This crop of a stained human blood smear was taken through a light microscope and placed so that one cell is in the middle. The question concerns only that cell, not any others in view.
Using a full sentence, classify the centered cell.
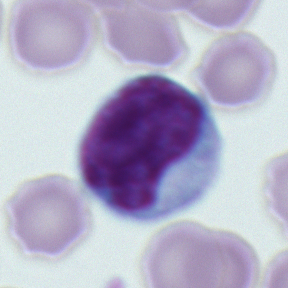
The cell sitting right in the middle is a typical lymphocyte.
